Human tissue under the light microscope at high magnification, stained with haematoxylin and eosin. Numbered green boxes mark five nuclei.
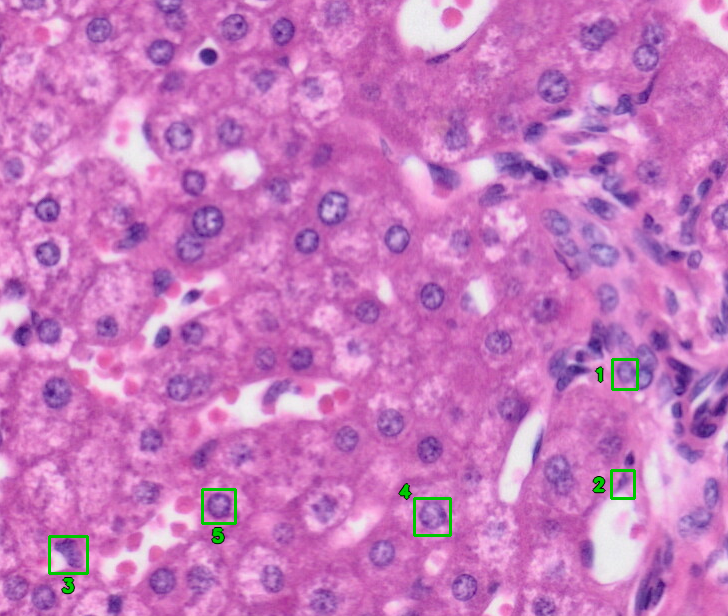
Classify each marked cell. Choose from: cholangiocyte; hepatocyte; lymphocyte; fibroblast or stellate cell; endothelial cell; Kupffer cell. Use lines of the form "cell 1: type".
cell 1: cholangiocyte
cell 2: fibroblast or stellate cell
cell 3: endothelial cell
cell 4: hepatocyte
cell 5: hepatocyte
